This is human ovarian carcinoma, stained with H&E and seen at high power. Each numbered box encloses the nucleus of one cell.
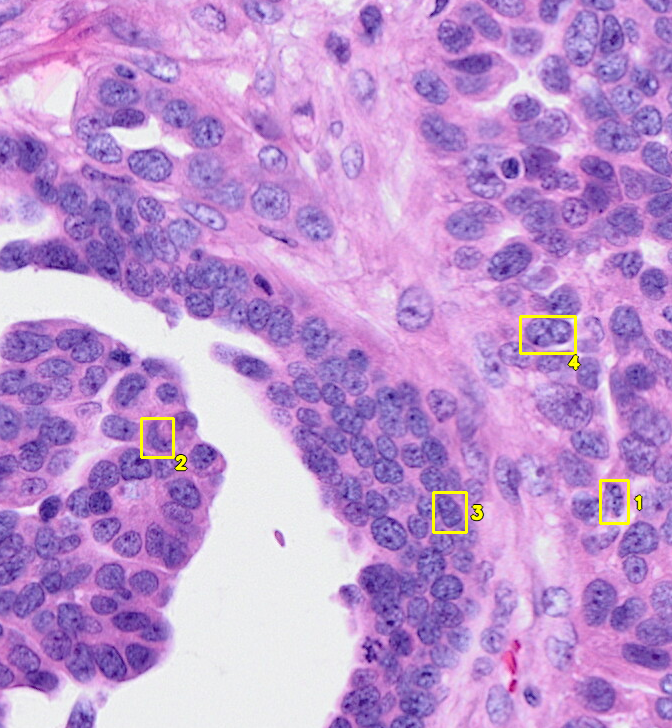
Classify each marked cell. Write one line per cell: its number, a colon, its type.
1: macrophage or monocyte
2: carcinoma cell
3: carcinoma cell
4: carcinoma cell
